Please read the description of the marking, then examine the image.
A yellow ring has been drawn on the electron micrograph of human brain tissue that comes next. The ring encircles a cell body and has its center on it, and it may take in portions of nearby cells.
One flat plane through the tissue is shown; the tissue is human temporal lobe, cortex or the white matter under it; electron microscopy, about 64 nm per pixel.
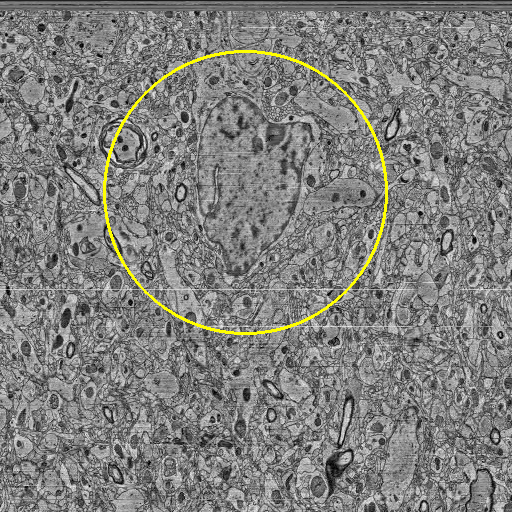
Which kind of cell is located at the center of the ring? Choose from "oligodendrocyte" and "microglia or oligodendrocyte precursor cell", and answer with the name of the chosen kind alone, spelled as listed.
microglia or oligodendrocyte precursor cell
